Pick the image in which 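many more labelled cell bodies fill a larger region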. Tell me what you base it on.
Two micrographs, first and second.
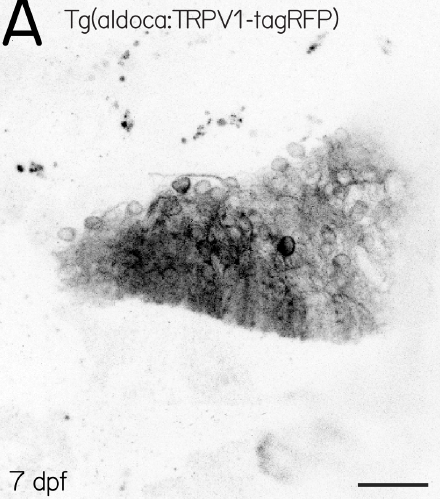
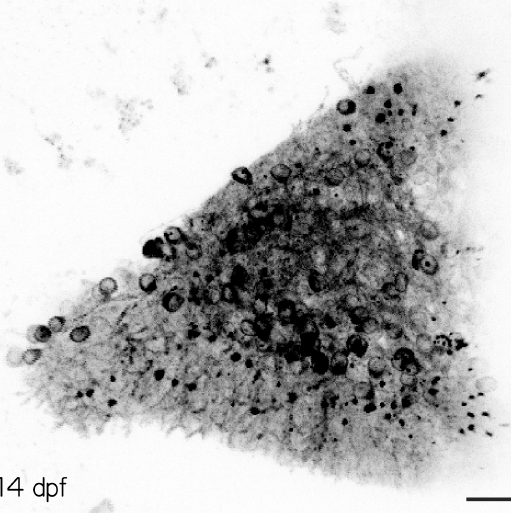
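Second image: a large triangular region crowded with many labelled rounded cell bodies throughout. First image: a smaller region with fewer labelled cell bodies, mostly along its upper edge. So: the second image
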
